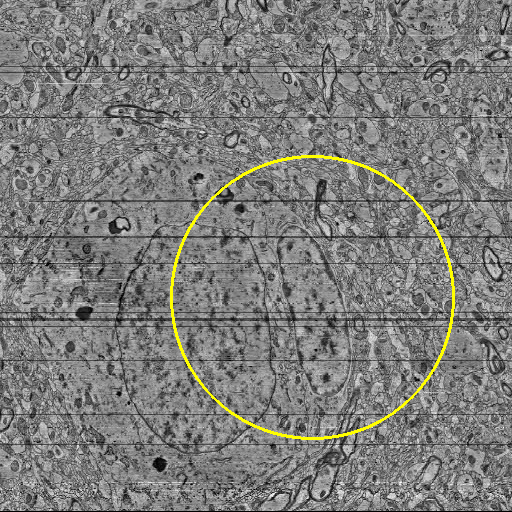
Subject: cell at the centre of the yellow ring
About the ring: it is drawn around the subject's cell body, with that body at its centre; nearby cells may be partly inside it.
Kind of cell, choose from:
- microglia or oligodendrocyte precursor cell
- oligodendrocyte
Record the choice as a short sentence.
The subject cell is a microglial cell or oligodendrocyte precursor cell.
